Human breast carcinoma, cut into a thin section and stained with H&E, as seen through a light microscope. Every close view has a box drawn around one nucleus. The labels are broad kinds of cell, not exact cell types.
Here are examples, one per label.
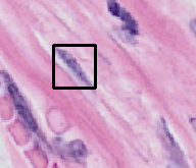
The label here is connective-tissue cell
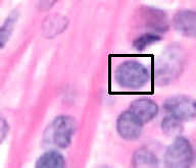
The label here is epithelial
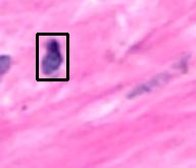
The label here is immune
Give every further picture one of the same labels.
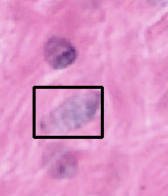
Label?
connective-tissue cell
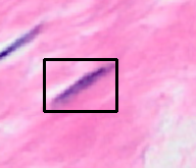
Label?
connective-tissue cell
